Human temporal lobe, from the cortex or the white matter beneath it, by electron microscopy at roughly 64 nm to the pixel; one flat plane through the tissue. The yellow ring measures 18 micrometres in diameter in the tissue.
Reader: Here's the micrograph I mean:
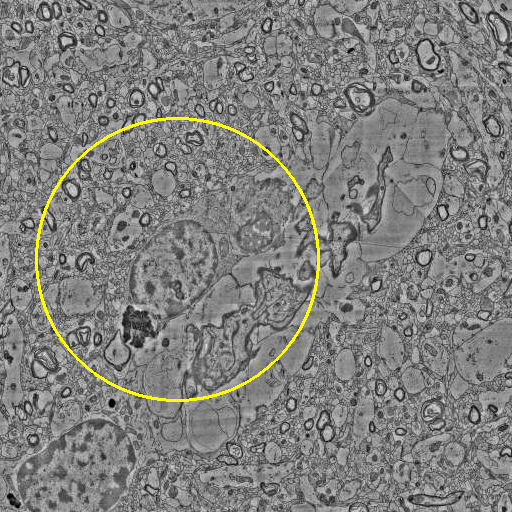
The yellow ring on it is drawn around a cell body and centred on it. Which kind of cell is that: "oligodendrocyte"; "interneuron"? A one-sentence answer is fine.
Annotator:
The ring is centred on an oligodendrocyte.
